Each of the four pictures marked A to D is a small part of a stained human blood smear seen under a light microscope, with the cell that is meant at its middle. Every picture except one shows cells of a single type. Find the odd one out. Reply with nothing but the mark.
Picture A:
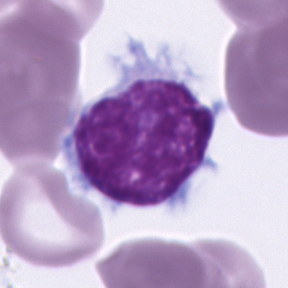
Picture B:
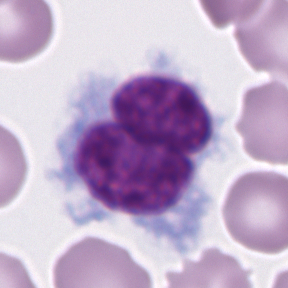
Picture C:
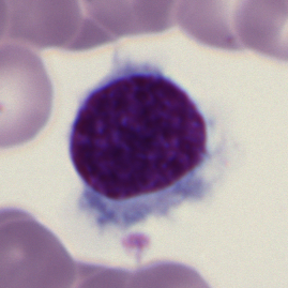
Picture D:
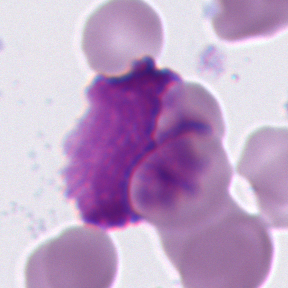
D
